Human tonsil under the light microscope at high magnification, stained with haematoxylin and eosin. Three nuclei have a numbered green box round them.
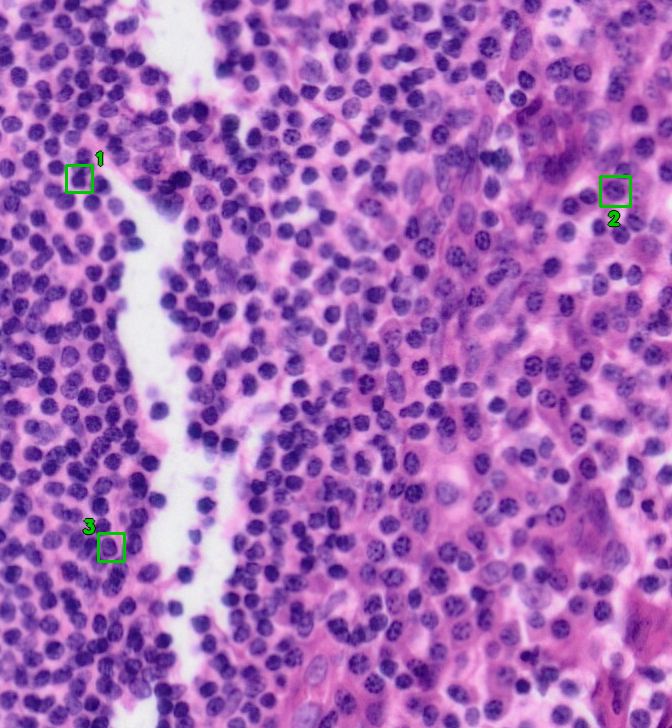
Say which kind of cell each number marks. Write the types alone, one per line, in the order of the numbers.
small lymphocyte
plasma cell
small lymphocyte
